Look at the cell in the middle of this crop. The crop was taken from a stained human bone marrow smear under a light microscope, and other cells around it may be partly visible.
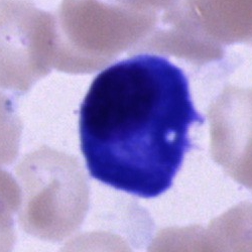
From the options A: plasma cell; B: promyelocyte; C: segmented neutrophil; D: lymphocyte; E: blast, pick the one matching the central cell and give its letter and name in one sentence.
Here the right option is A, as the cell in the middle is a plasma cell.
